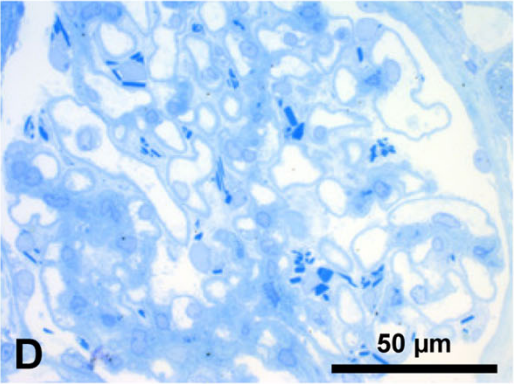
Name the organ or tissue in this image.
Glomerular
